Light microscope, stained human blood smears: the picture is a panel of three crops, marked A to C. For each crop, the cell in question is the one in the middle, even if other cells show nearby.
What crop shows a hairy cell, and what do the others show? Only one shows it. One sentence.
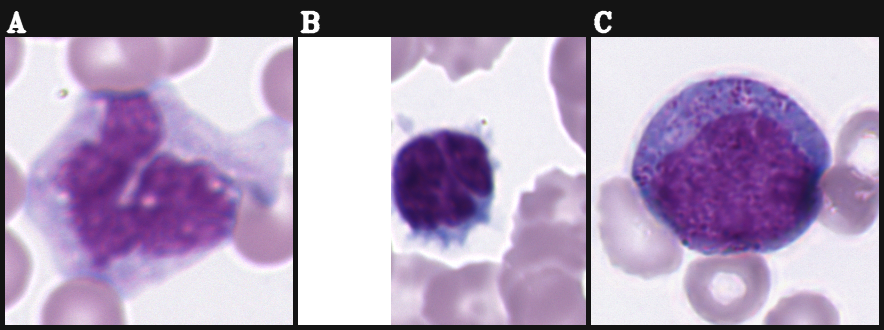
The middle of crop B holds a hairy cell, while crop A is a monocyte and crop C is a promyelocyte.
